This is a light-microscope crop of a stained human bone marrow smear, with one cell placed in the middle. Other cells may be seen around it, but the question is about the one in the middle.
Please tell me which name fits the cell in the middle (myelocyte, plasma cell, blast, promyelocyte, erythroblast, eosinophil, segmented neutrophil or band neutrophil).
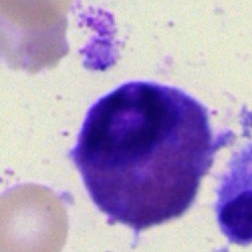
eosinophil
